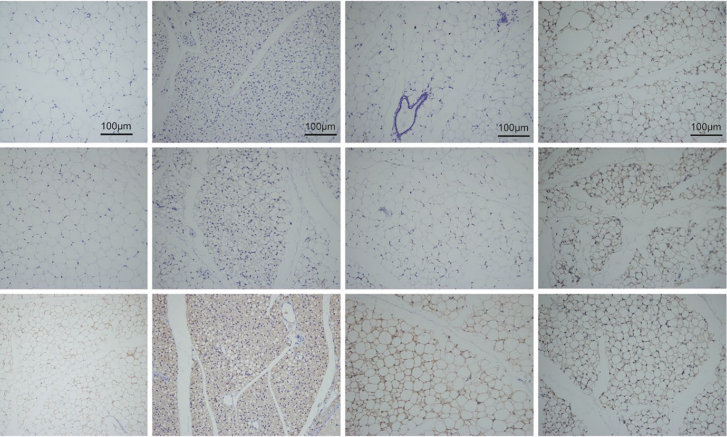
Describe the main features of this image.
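In some sections the fat cells are large and unilocular: each is a clear, empty-looking space rimmed by a thin membrane, with small flattened nuclei pressed at the edge, and they form a honeycomb-like network. In other sections the cells are smaller and packed into dense lobules separated by thin bands of pale connective tissue. Their cytoplasm is finely divided by many small vacuoles and holds more nuclei per area. In places, brown staining outlines the cell borders or fills the cytoplasm of these compact lobules.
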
